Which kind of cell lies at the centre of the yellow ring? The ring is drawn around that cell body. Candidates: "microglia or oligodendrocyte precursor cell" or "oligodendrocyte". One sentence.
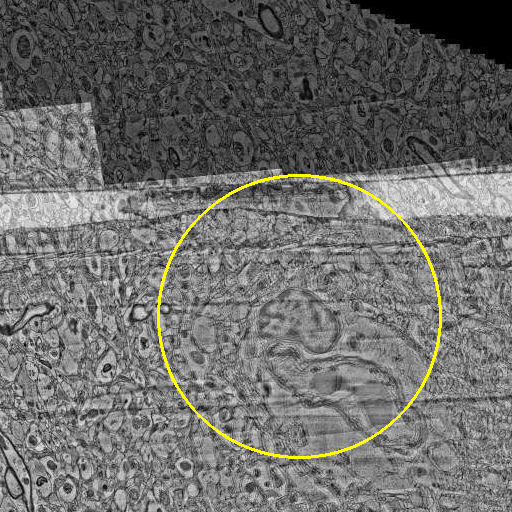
Lying at the centre of the ring is a microglial cell or oligodendrocyte precursor cell.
